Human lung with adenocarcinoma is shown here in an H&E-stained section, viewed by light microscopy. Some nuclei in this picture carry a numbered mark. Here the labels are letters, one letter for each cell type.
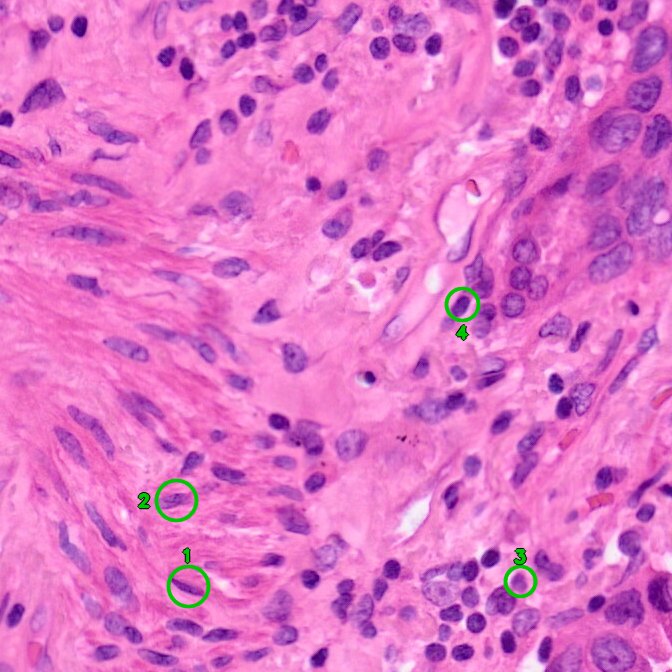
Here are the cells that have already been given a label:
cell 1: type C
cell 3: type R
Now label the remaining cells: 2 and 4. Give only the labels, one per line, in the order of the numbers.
type C
type R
